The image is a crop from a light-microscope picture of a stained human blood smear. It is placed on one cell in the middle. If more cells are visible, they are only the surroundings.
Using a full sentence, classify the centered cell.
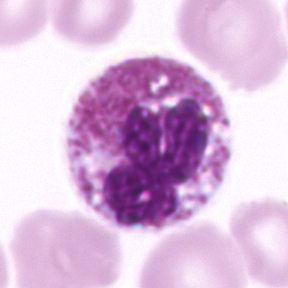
The crop centres on a single cell, and that cell is an eosinophil.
